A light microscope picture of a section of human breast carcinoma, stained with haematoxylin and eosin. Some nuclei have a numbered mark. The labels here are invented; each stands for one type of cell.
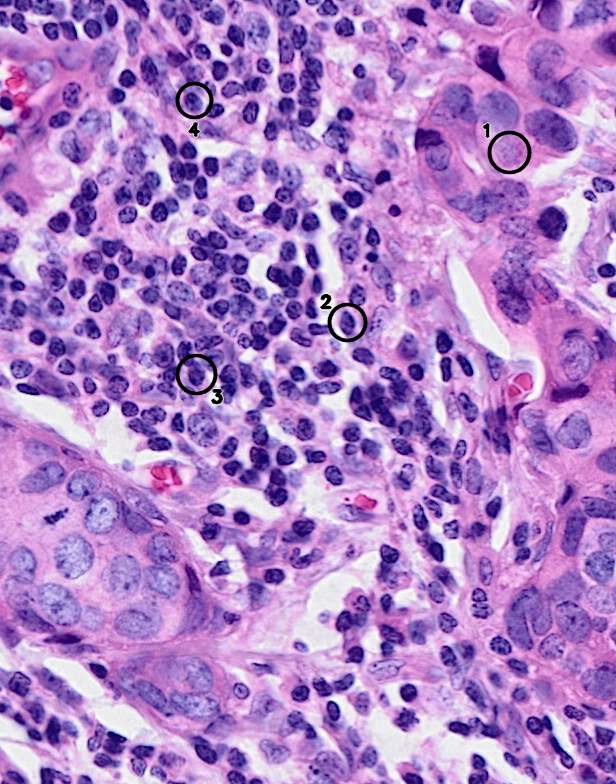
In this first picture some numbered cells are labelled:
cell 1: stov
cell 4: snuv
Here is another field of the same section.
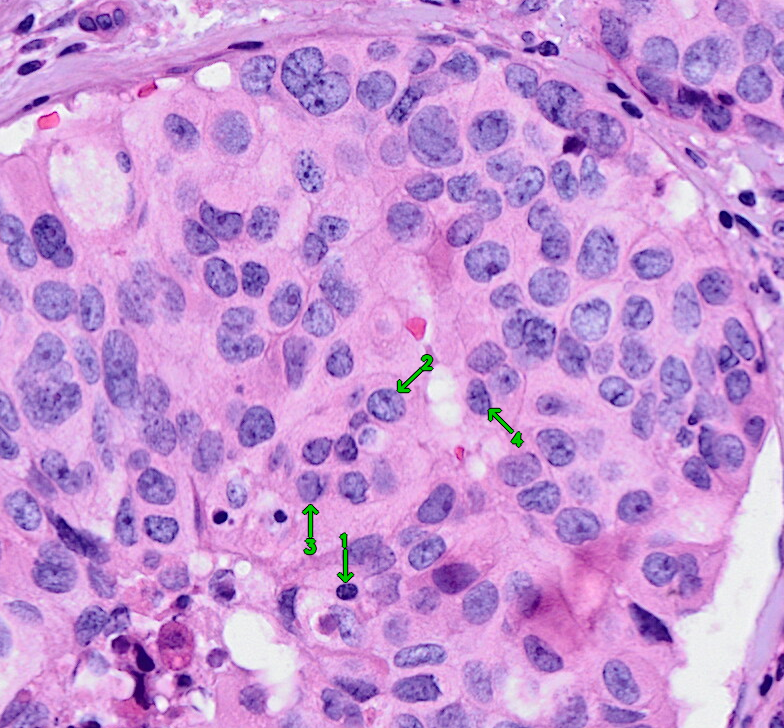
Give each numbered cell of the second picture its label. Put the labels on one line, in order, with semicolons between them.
snuv; stov; stov; stov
